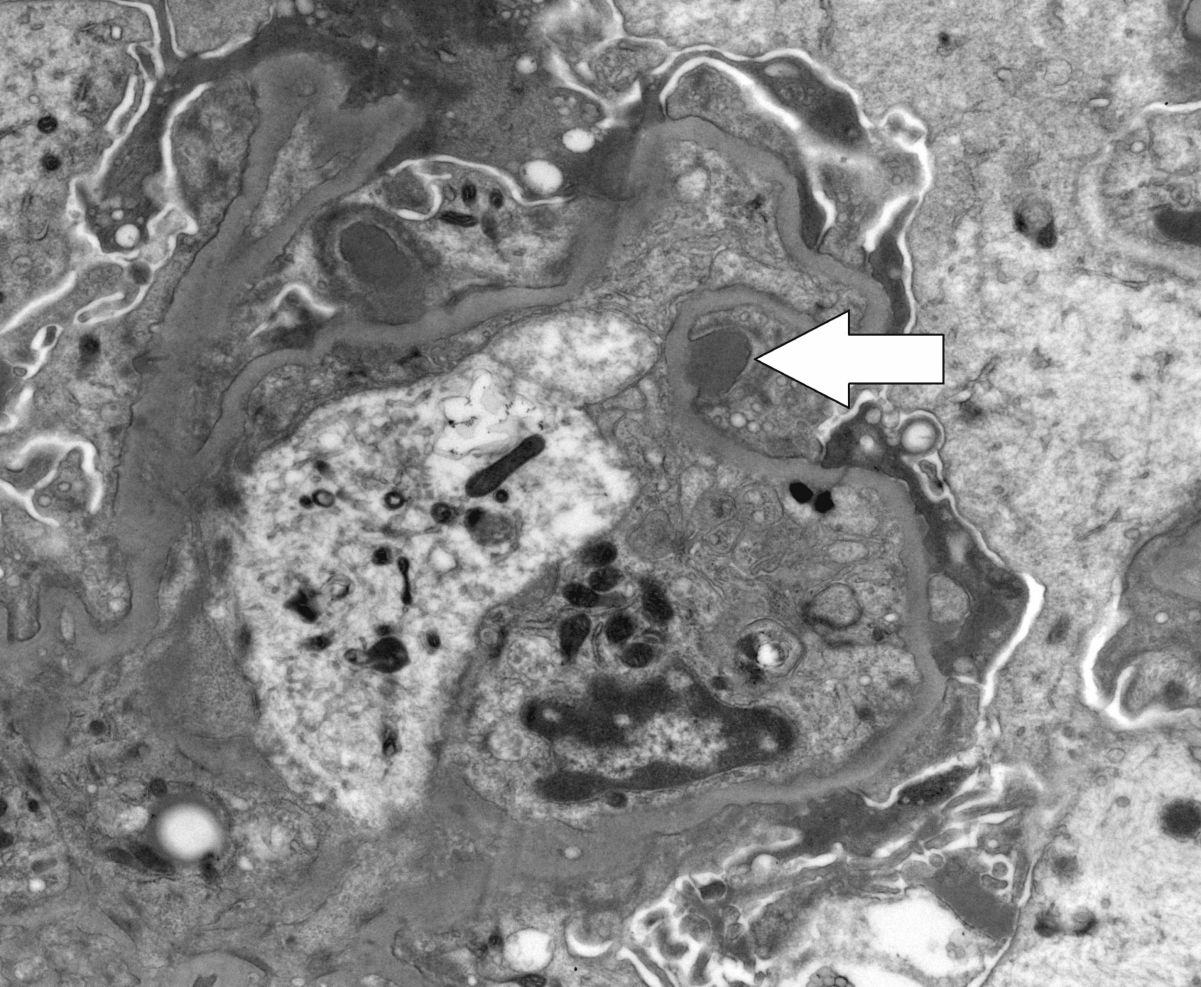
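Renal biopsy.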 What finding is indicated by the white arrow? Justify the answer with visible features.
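The arrow points to a rounded, homogeneous, dark mass. The mass is darker than the grey band of basement membrane it lies against. It sits along the basement membrane of a capillary loop. So: subepithelial electron-dense “hump-like” deposits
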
